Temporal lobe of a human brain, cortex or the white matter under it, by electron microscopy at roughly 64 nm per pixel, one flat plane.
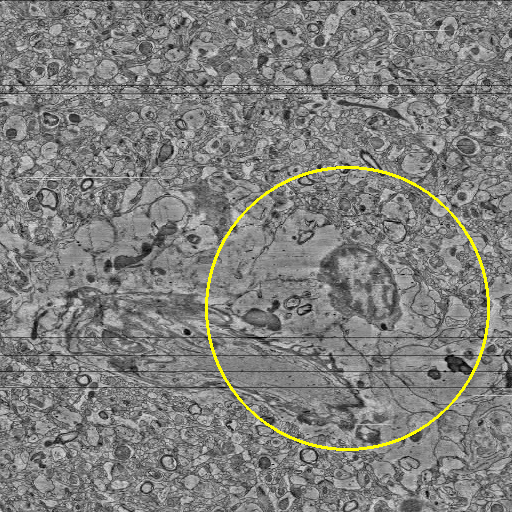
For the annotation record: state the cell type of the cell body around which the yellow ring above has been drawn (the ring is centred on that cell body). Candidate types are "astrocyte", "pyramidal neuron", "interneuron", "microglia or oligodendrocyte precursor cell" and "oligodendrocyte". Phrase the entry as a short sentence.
The ringed cell is an oligodendrocyte.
